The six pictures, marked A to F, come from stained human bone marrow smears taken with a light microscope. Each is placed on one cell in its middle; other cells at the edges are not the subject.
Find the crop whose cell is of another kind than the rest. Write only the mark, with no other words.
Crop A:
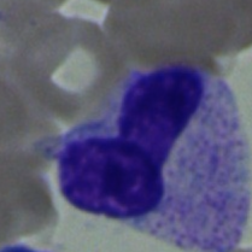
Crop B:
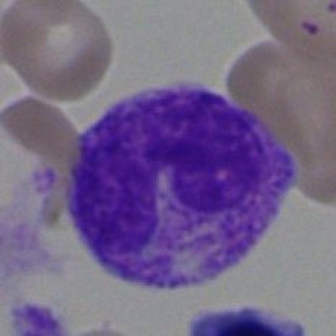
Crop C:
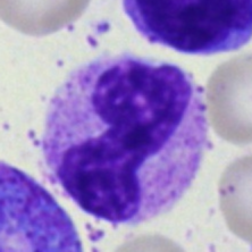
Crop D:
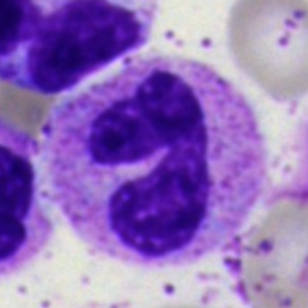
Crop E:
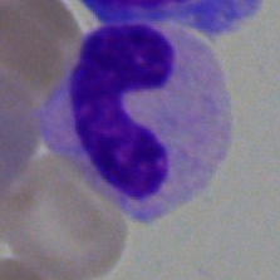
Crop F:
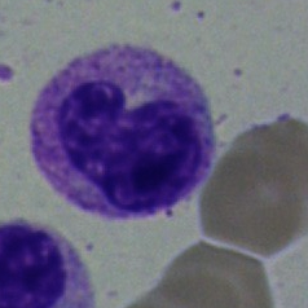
D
